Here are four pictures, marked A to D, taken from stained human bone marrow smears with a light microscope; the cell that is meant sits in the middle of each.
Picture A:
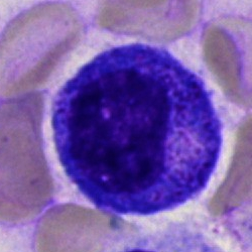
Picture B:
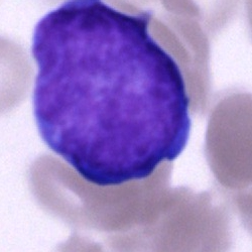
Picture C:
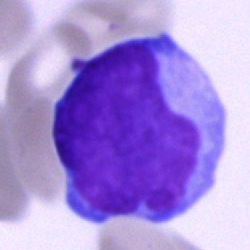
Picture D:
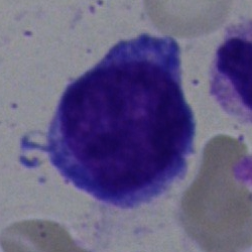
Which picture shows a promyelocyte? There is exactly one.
A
